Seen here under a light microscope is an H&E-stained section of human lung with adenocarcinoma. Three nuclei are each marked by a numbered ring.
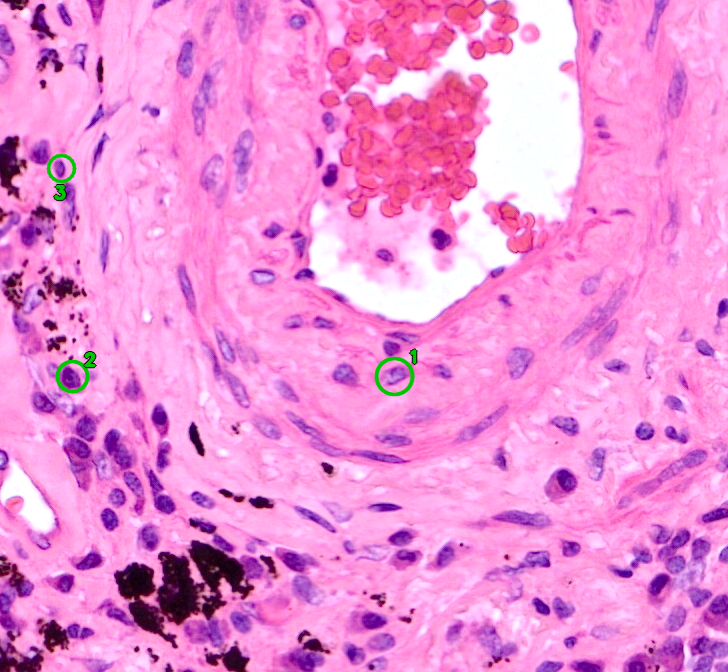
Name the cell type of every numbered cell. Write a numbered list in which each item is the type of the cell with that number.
1. smooth muscle cell or pericyte
2. plasma cell
3. lymphocyte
